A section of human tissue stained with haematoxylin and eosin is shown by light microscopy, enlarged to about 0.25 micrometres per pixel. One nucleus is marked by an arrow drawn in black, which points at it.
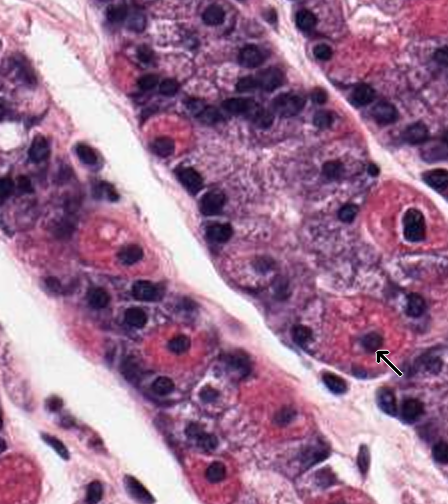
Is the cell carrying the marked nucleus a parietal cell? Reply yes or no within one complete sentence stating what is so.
Yes, the marked nucleus is one belonging to a parietal cell.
